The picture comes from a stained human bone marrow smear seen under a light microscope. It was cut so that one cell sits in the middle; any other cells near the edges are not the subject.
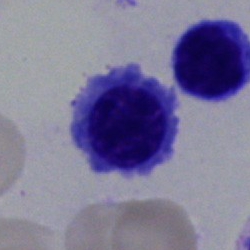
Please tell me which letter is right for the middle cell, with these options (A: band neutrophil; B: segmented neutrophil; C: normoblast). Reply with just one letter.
C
